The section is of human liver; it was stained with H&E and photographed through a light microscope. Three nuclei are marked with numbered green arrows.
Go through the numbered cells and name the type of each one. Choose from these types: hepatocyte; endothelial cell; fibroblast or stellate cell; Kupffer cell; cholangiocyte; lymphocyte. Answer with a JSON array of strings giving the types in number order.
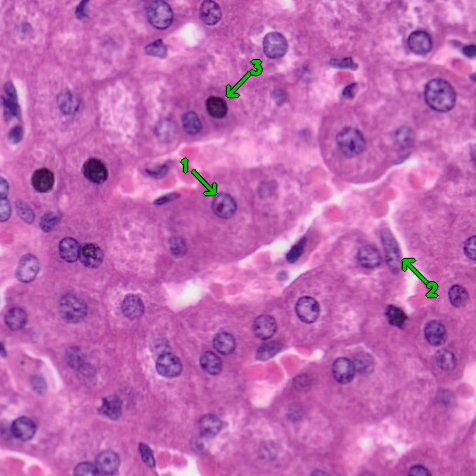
["hepatocyte", "Kupffer cell", "hepatocyte"]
